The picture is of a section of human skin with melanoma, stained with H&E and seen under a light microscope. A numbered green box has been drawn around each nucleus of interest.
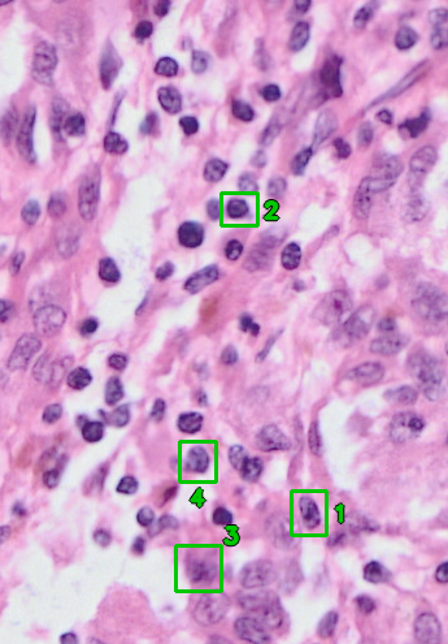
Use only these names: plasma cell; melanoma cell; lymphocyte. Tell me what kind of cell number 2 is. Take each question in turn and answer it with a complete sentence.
At number 2, the marked cell is a lymphocyte.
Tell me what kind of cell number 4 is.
The marked nucleus 4 is that of a lymphocyte.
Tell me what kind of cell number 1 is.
Regarding cell 1, this one is a lymphocyte.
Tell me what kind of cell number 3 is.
The marked cell with the number 3 is recognised as a melanoma cell.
